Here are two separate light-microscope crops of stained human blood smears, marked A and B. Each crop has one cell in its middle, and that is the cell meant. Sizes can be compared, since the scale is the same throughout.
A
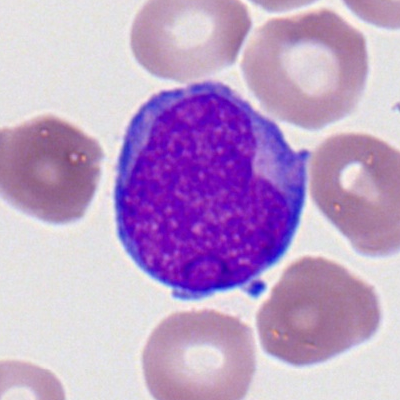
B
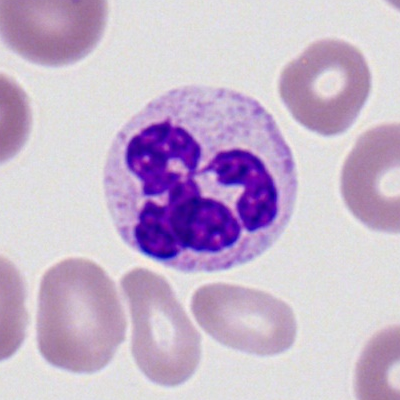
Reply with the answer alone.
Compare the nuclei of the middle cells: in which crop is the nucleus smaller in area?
B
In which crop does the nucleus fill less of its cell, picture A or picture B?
B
